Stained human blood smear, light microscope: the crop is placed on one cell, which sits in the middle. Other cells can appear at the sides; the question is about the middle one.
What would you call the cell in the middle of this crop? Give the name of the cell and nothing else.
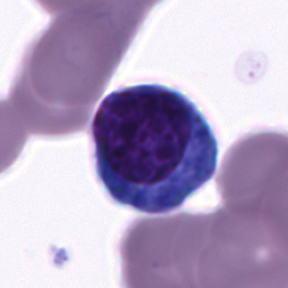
plasma cell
